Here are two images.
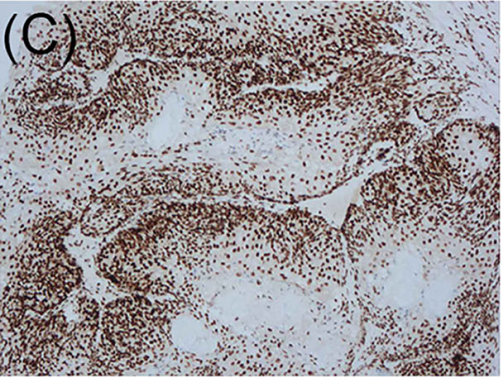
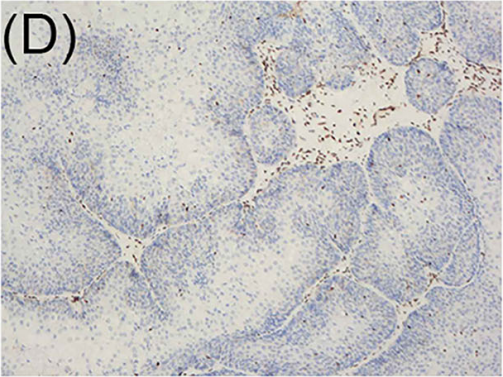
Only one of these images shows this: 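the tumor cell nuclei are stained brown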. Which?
The first image.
